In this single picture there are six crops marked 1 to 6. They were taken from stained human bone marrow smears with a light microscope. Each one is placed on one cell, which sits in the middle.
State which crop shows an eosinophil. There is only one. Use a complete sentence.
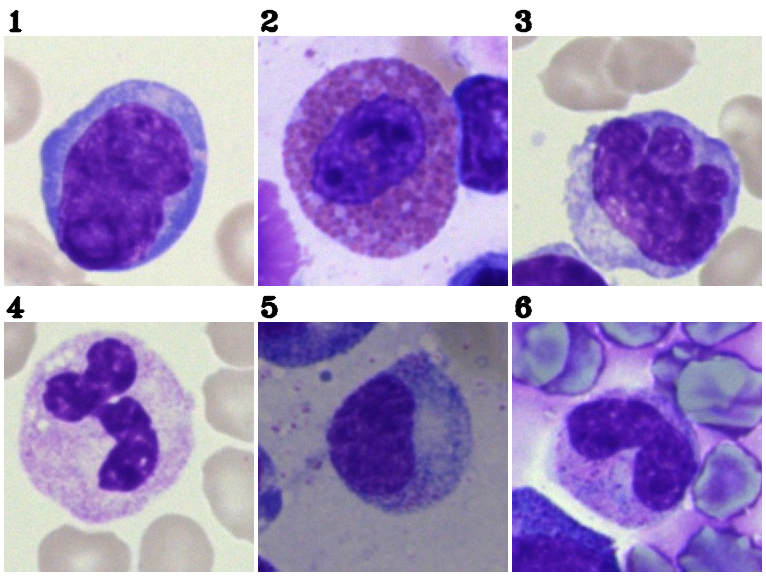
Crop 2 is the crop featuring an eosinophil at its center.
